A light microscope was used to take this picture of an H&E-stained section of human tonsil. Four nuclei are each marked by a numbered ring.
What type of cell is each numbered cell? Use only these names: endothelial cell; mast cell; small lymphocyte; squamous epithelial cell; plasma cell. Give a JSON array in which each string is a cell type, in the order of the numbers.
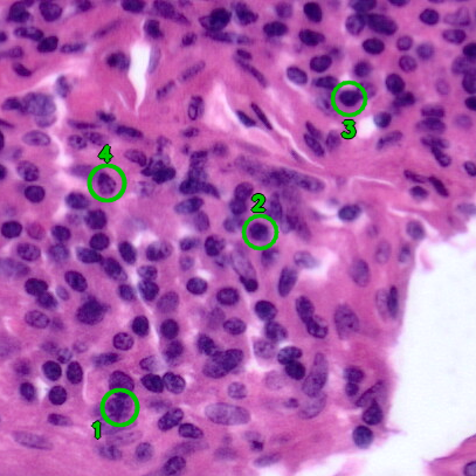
["squamous epithelial cell", "plasma cell", "plasma cell", "plasma cell"]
